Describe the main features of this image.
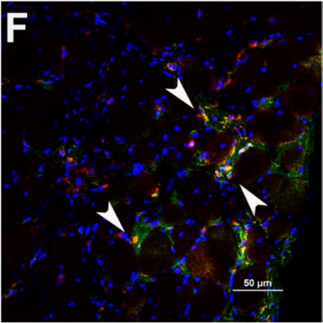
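This is a cross-section of skeletal muscle infiltrated by inflammatory cells. Rounded and polygonal muscle fibres of varying size appear dark with faint reddish background, separated by widened interstitial spaces containing many small blue nuclei. Within these spaces clusters of small cells show green and red labelling, several of them yellow-orange where both colours overlap. The infiltrating cells concentrate in patches between fibres rather than within them.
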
